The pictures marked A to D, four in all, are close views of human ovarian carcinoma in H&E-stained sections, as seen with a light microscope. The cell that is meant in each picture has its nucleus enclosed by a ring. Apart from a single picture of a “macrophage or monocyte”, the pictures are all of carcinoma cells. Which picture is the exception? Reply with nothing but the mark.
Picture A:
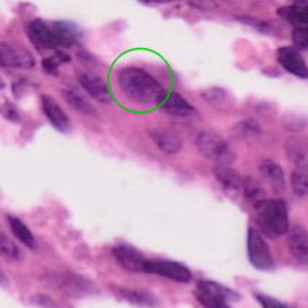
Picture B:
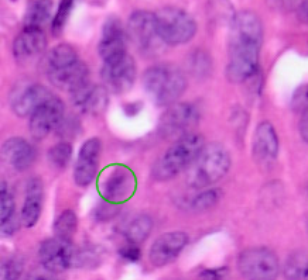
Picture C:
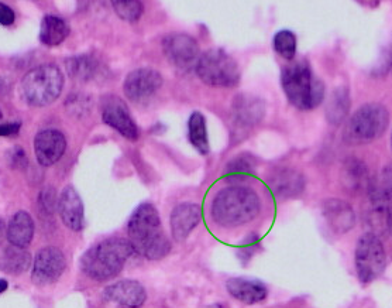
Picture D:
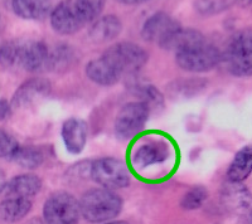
D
